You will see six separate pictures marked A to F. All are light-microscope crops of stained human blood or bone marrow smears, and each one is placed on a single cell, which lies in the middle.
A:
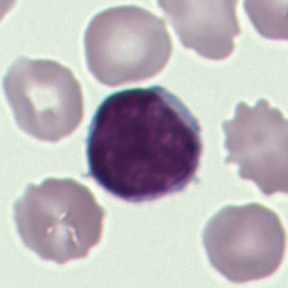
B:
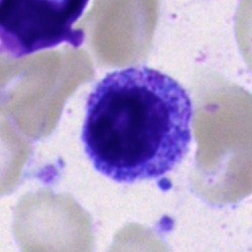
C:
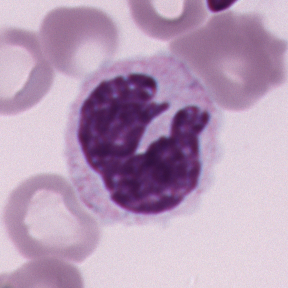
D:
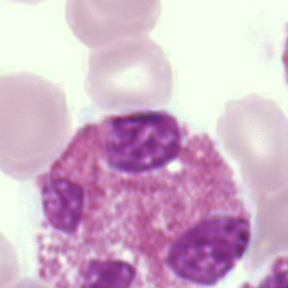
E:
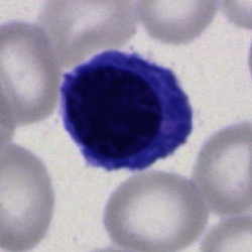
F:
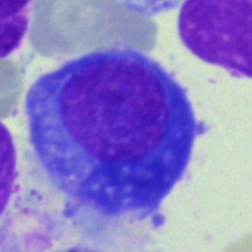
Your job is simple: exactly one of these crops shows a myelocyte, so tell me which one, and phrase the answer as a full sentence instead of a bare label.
The crop bearing a myelocyte is crop B.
